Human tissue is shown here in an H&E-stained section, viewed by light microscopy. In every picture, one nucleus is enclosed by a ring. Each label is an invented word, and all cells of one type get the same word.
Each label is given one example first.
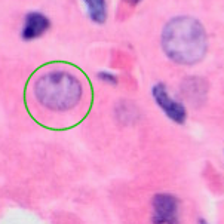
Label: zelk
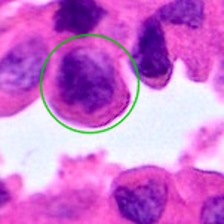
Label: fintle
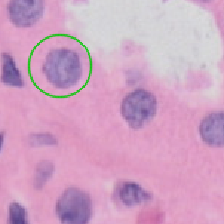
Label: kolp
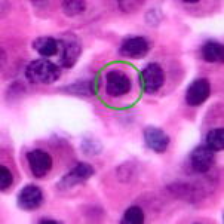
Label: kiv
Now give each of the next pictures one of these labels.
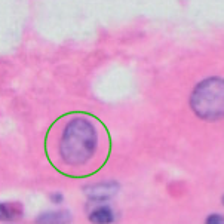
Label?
zelk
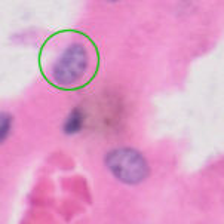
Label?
kolp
